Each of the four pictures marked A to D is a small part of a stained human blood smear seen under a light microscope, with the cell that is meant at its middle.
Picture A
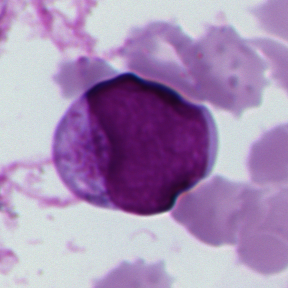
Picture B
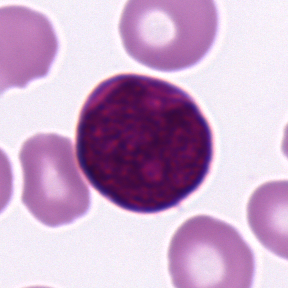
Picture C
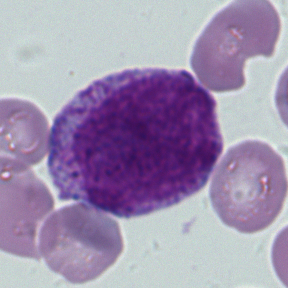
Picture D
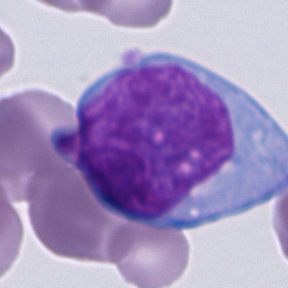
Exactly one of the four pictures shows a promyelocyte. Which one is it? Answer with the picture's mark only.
C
